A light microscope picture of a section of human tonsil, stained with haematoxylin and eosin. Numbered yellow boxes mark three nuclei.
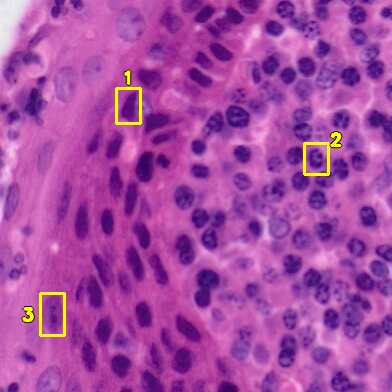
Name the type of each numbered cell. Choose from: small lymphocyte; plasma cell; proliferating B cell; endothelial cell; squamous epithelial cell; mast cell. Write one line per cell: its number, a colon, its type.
1: squamous epithelial cell
2: plasma cell
3: squamous epithelial cell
